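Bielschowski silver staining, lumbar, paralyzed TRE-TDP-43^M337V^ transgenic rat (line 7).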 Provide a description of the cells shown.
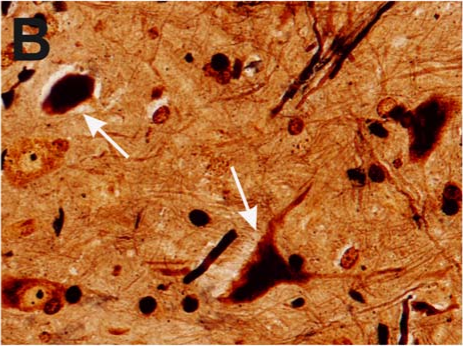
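This is spinal cord gray matter in which several neurons stain abnormally dark. Some cell bodies are shrunken, angular and almost black, with no pale nucleus to be seen, unlike the few remaining cells with pale cytoplasm and nuclei. Small dark round and rod-like profiles are scattered through the background. The fibre meshwork appears less dense and more irregular than in healthy gray matter.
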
